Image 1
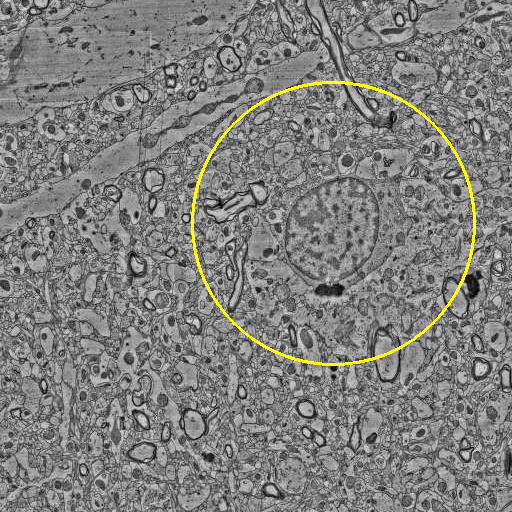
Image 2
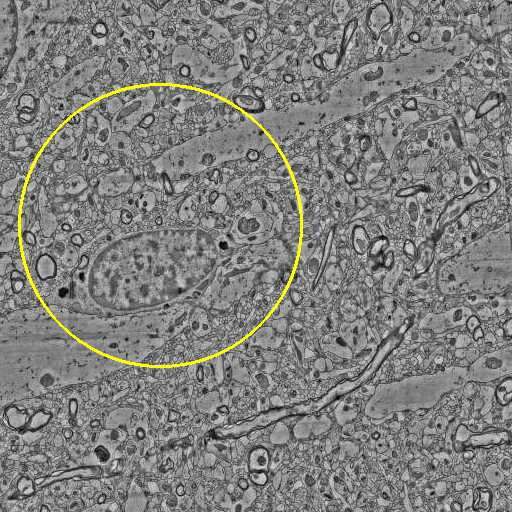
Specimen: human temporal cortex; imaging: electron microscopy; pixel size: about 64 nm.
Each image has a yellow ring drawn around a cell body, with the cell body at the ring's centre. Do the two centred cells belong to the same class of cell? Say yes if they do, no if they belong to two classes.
yes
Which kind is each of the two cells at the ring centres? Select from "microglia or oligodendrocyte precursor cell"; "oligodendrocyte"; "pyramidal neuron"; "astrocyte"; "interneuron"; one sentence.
In each picture the ringed cell is an oligodendrocyte.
